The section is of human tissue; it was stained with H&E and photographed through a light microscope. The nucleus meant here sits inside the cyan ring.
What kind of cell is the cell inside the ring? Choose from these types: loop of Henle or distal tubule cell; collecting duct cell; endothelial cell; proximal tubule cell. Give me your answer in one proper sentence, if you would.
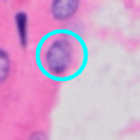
The identity of the cell inside the ring: it is a loop of Henle or distal tubule cell.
